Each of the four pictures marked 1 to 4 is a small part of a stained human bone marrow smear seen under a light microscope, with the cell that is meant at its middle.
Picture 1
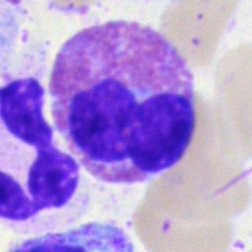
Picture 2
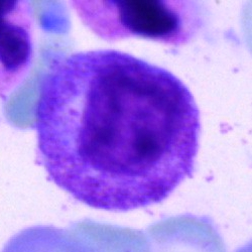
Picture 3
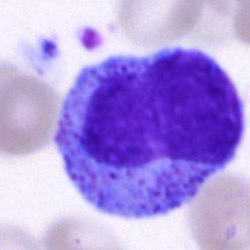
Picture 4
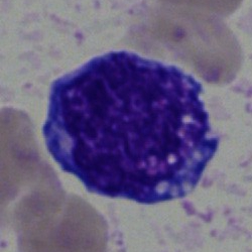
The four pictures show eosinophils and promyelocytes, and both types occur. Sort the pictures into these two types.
1: eosinophil
2: promyelocyte
3: promyelocyte
4: promyelocyte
